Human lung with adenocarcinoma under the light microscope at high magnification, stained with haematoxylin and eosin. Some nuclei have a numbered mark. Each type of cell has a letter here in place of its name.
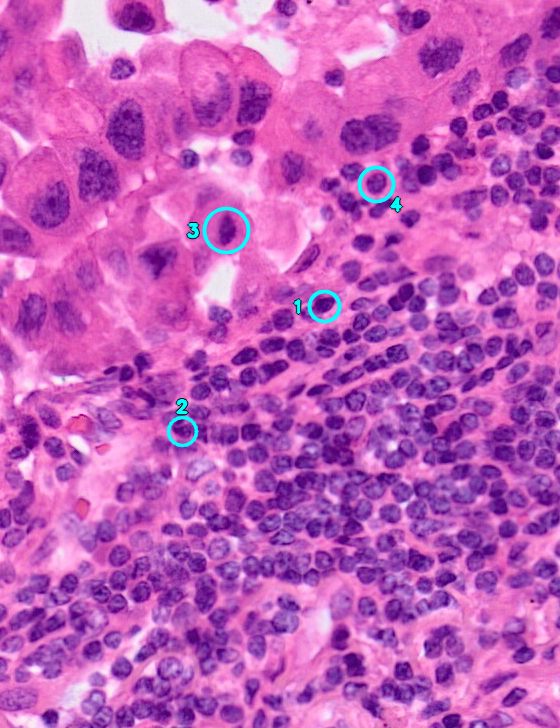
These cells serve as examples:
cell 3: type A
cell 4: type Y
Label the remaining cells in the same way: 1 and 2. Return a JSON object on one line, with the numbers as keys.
{"1": "type Y", "2": "type Y"}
